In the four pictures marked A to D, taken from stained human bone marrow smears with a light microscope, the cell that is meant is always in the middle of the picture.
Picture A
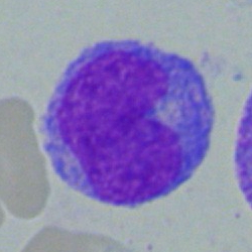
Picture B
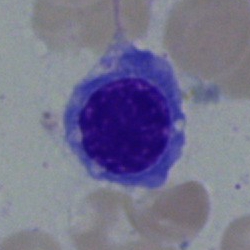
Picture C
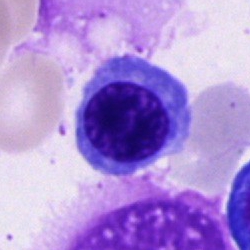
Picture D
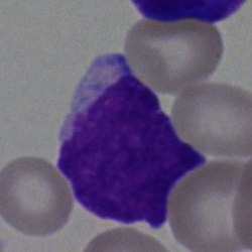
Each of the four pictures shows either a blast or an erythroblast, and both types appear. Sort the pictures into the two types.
A: blast
B: erythroblast
C: erythroblast
D: blast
